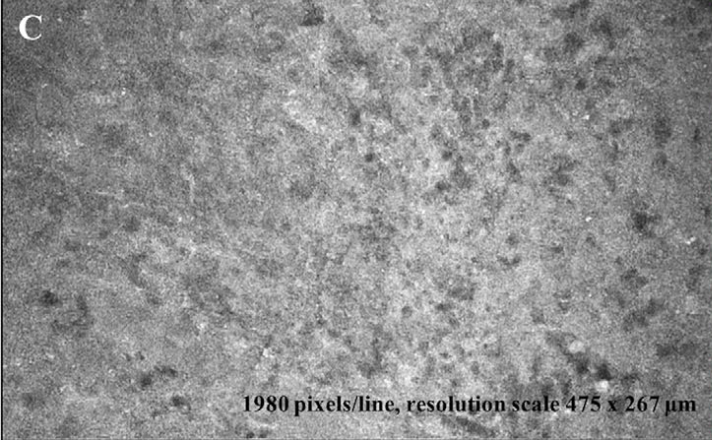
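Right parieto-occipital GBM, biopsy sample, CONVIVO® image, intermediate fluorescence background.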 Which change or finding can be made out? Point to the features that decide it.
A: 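Grainy grey amorphous texture fills most of the field. Few discrete cell outlines can be made out. Scattered small dark patches lie on a medium-grey background. On this evidence: prevalent necrotic aspects.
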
